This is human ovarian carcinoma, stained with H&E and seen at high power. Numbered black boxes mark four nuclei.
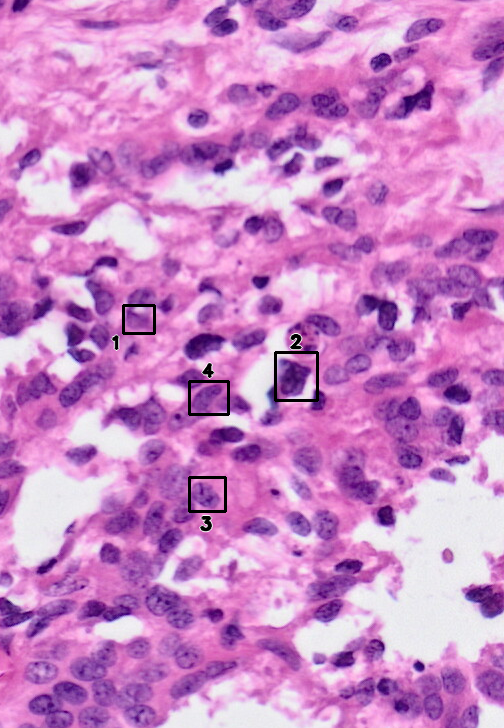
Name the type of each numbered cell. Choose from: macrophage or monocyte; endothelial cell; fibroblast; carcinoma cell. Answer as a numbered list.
1. carcinoma cell
2. carcinoma cell
3. macrophage or monocyte
4. carcinoma cell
